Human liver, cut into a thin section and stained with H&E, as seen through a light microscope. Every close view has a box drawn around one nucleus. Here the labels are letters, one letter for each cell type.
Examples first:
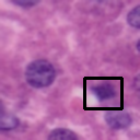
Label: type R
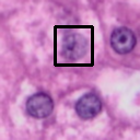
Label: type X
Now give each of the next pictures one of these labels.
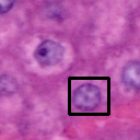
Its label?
type X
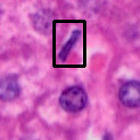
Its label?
type R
